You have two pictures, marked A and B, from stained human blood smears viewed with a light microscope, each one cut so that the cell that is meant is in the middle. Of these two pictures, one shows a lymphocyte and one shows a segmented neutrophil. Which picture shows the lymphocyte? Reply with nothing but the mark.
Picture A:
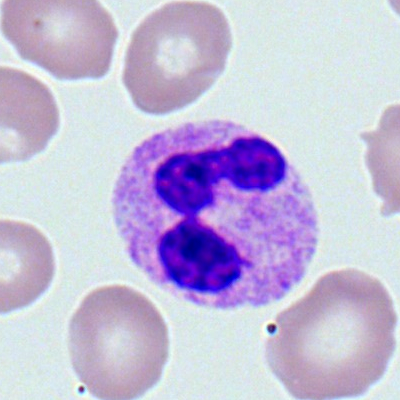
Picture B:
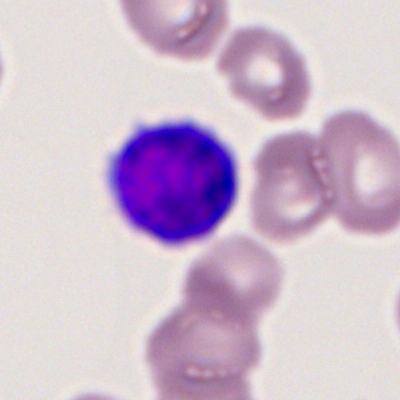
B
